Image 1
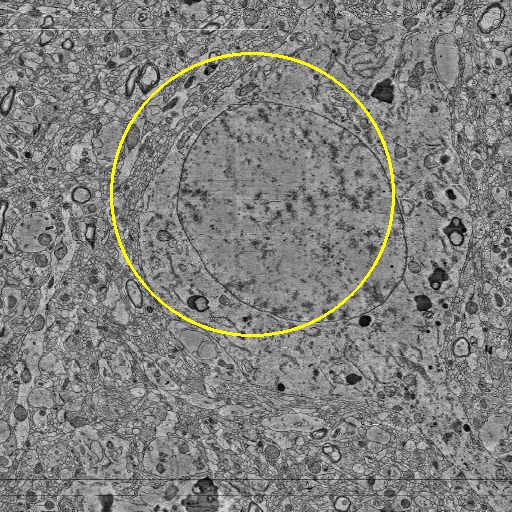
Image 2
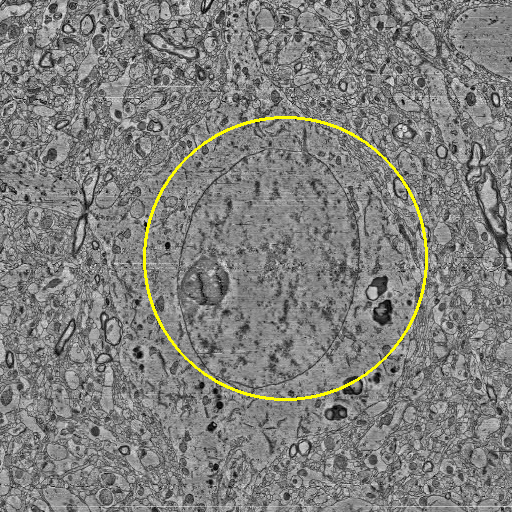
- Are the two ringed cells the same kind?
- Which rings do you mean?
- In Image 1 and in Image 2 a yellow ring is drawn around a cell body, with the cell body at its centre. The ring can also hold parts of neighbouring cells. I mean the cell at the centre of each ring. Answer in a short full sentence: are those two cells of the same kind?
Yes, both cells are of the same kind.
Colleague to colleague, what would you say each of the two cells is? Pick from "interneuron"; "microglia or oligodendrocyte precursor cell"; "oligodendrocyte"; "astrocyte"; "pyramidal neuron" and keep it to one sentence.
Each cell at the centre of a ring is a pyramidal neuron.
